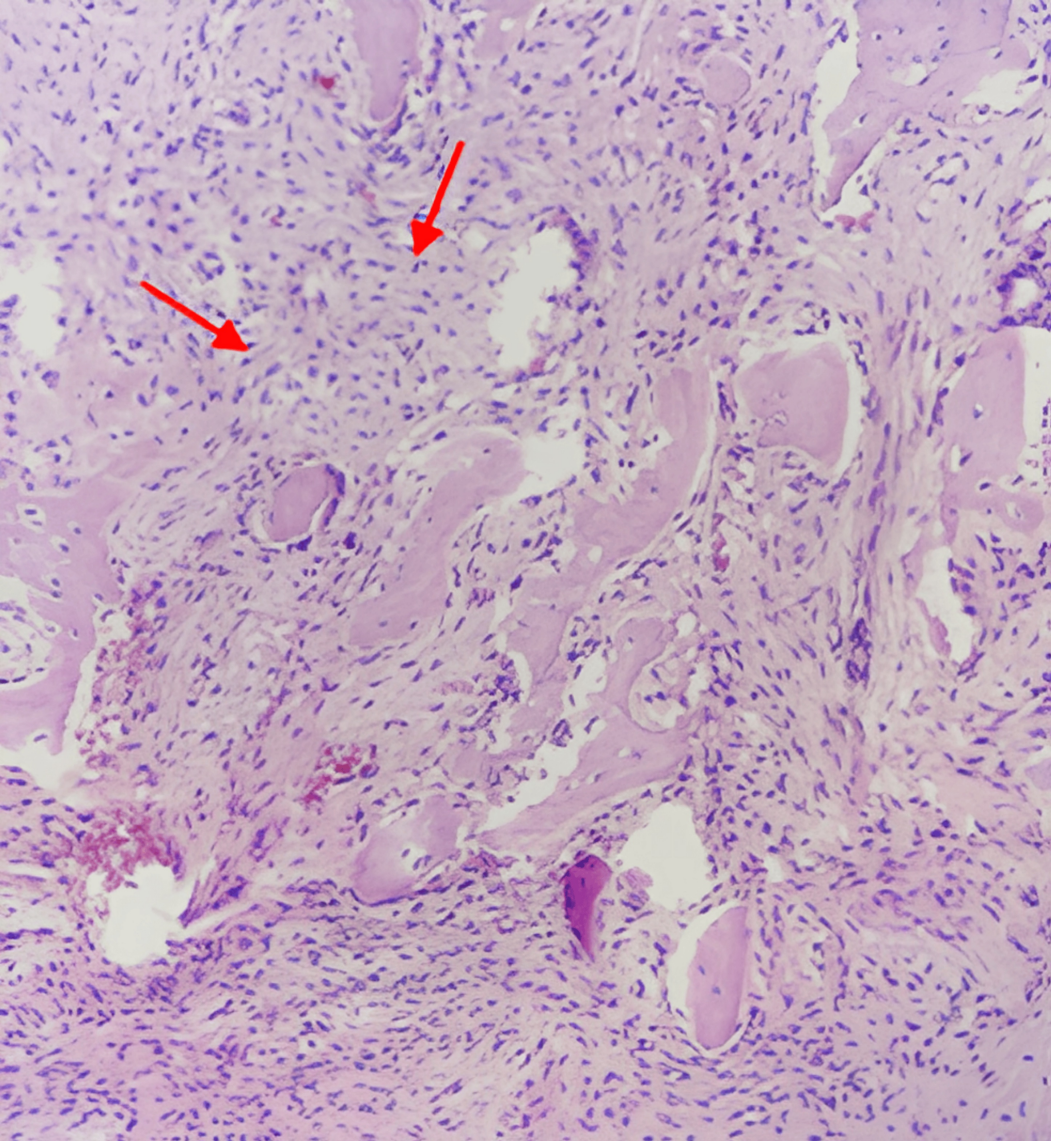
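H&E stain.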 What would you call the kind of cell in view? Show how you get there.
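The stromal cells have elongated, slender nuclei. The nuclei are small and uniform, without marked pleomorphism.
Conclusion: spindle cells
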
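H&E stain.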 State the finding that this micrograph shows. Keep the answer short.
Fibrous dysplasia.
